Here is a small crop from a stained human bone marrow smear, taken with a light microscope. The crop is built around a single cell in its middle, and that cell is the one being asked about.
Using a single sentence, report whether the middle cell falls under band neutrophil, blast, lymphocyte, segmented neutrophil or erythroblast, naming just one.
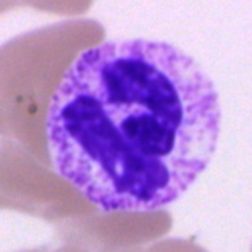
The middle position in this crop is taken by a segmented neutrophil.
